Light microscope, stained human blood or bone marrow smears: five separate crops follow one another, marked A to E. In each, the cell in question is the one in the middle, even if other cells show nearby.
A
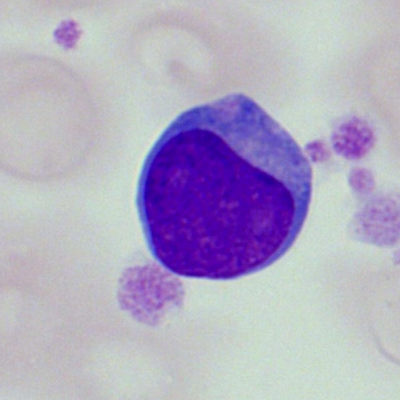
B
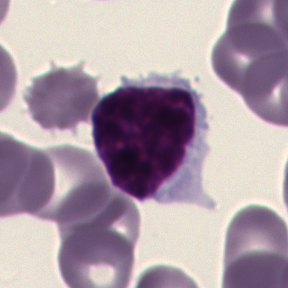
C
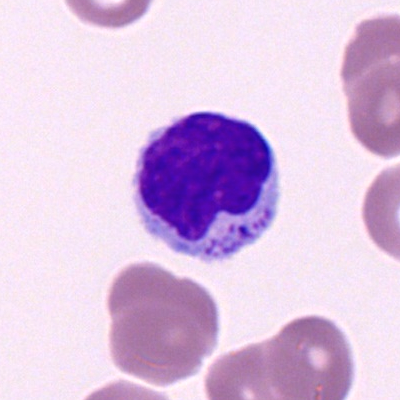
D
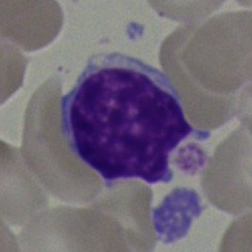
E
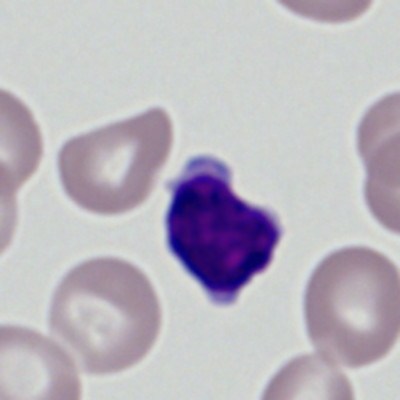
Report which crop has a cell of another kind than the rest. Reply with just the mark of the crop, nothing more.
A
